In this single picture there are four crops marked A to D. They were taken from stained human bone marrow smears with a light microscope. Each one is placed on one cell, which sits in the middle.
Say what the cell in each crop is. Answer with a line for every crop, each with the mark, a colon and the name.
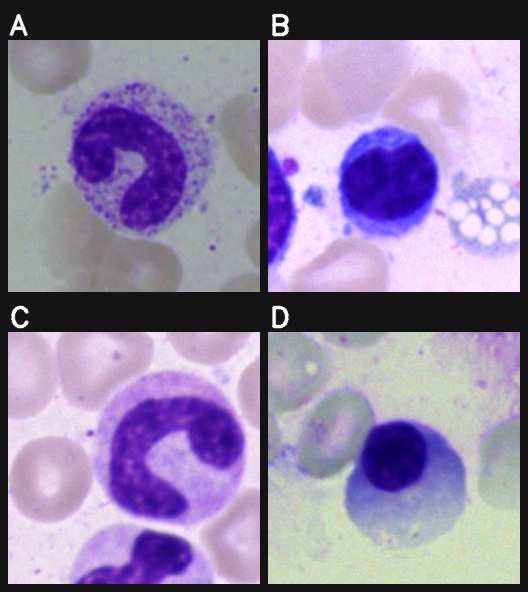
A: band neutrophil
B: lymphocyte
C: band neutrophil
D: normoblast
